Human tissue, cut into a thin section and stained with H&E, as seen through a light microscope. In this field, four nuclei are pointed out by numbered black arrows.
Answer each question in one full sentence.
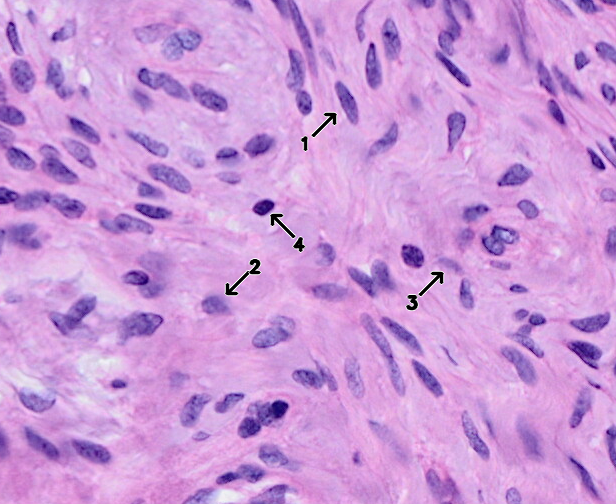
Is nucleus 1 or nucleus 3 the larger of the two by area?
Number 1 is larger; its area is about 2 times that of number 3.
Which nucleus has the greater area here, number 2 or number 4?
Of the two, number 2 is bigger and takes up about 1.5 times the area of number 4.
